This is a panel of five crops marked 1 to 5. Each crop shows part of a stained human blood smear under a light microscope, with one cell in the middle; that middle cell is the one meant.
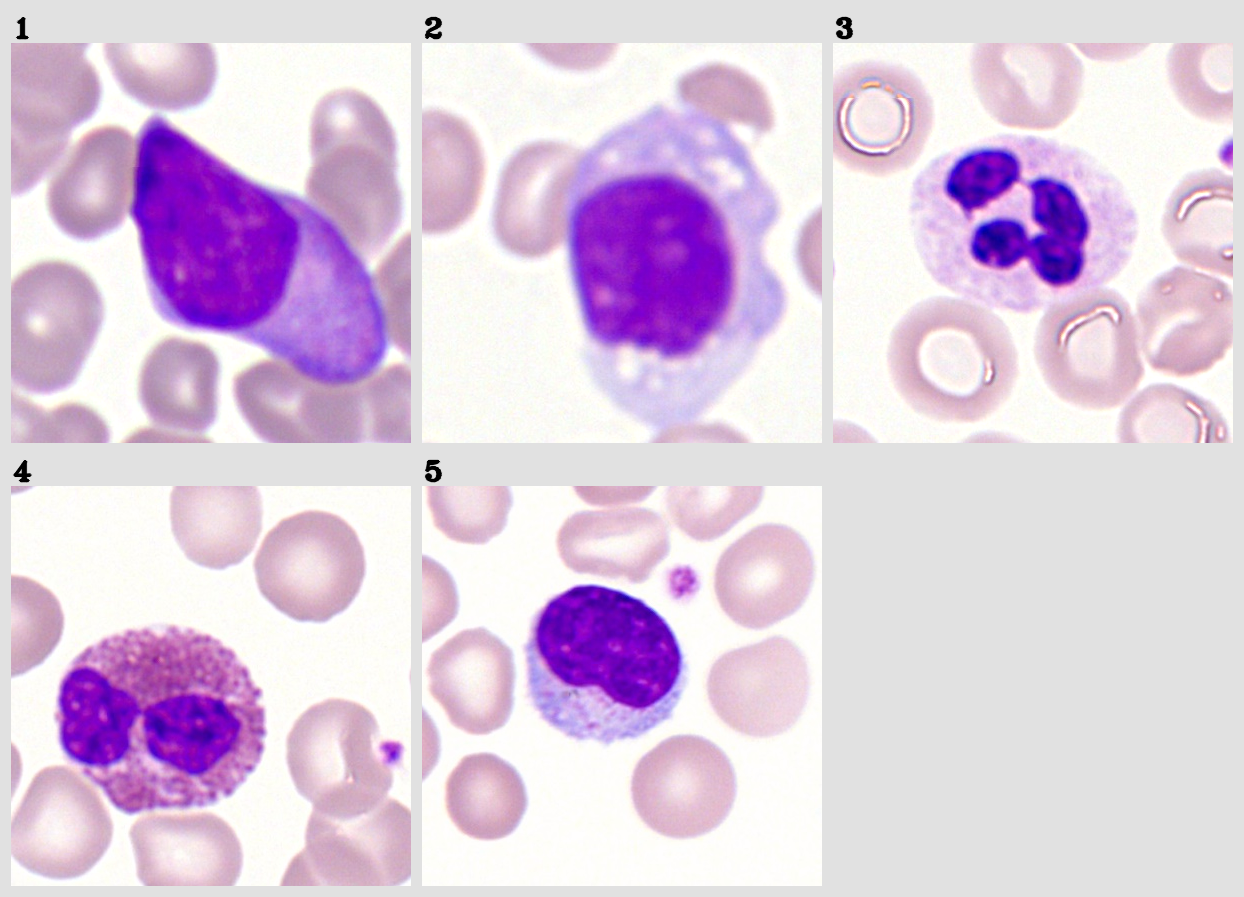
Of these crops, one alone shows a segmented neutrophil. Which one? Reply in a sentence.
Crop 3 is where a segmented neutrophil is shown.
